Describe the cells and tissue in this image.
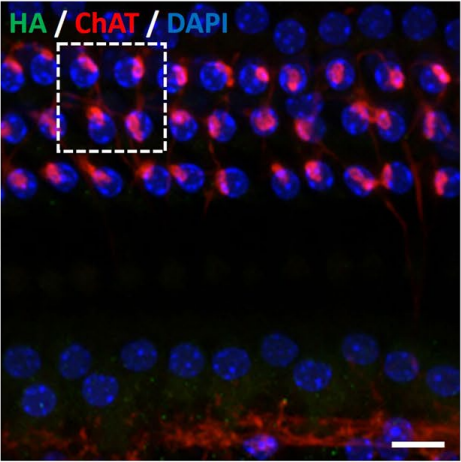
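This is a surface view of the organ of Corti showing three rows of outer hair cells above and one row of inner hair cells below, each with a round blue nucleus. A red cluster lies against one side of each outer hair cell, with no green accompanying it. Thin red fibres cross from the inner hair cell region to the outer rows and branch among them. A band of red fibres runs along the bottom below the inner hair cells.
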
